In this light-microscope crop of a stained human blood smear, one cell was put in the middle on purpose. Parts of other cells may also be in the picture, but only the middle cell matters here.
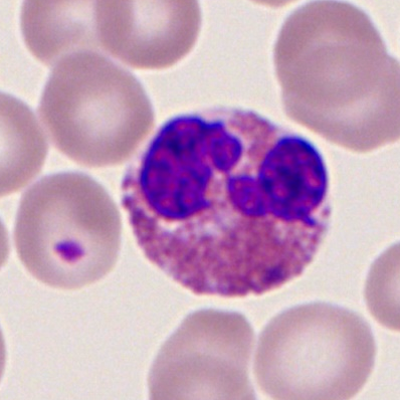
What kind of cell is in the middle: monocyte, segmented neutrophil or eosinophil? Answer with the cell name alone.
eosinophil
